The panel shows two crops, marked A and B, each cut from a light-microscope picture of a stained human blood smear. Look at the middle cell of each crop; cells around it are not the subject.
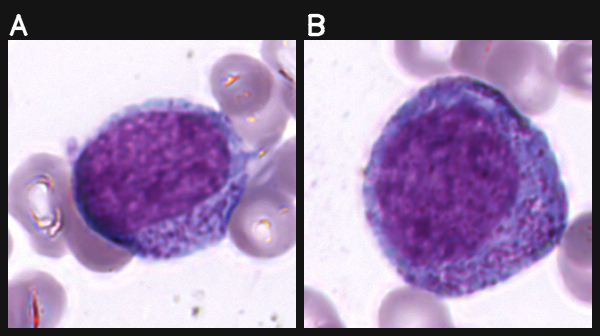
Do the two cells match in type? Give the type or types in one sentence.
Yes, both crops show promyelocytes, and nothing else needs adding.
